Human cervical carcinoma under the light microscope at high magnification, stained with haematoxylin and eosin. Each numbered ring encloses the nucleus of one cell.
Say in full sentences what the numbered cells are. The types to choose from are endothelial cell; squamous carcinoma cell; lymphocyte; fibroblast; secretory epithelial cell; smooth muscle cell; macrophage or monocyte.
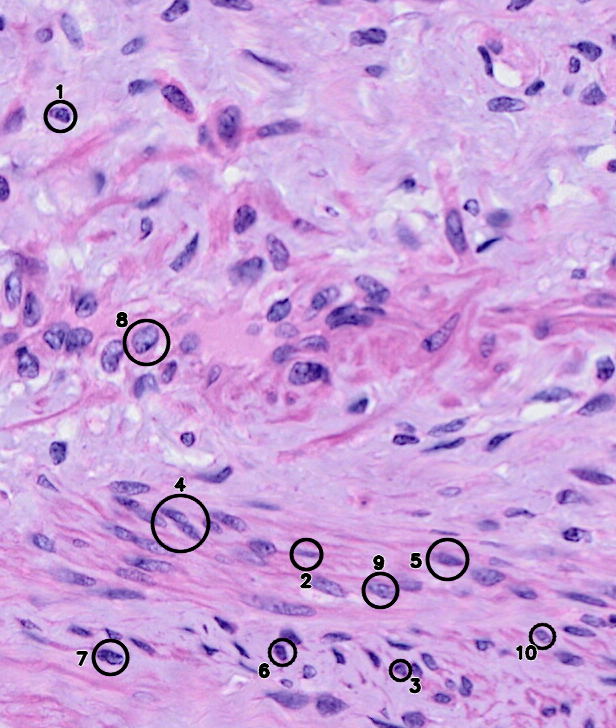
Cells 1 and 7 are lymphocytes. Cells 2, 3, 4, 5, 9 and 10 are smooth muscle cells. Cell 6 is a fibroblast. Cell 8 is an endothelial cell.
